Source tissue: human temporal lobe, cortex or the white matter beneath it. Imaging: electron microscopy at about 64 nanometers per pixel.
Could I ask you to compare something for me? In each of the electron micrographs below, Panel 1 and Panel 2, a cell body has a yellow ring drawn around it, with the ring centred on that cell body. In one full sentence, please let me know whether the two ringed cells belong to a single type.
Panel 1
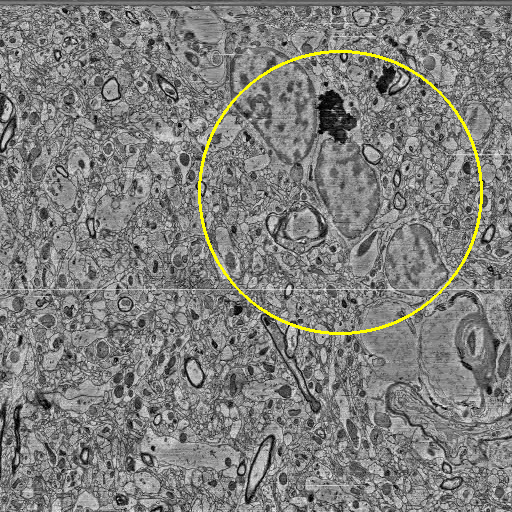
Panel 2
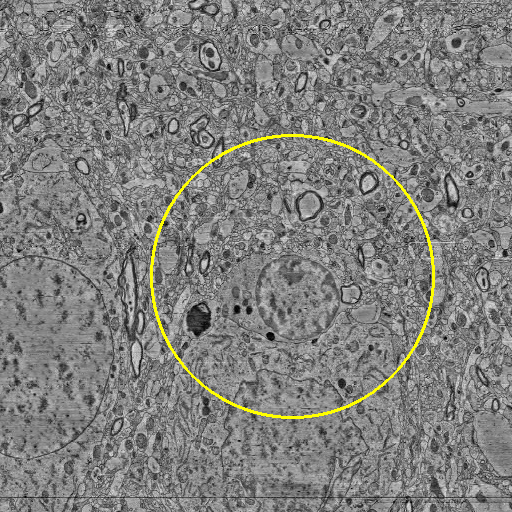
Yes, the two cells at the centres of the rings are of one type.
